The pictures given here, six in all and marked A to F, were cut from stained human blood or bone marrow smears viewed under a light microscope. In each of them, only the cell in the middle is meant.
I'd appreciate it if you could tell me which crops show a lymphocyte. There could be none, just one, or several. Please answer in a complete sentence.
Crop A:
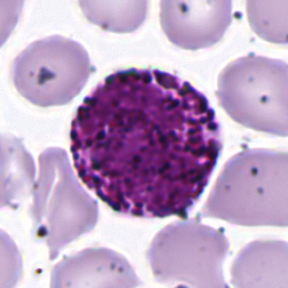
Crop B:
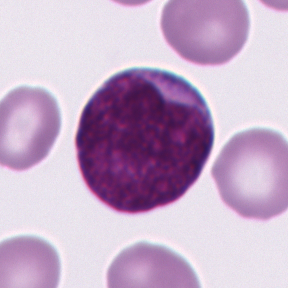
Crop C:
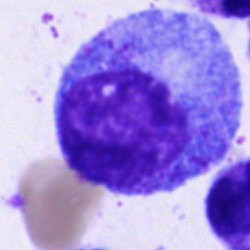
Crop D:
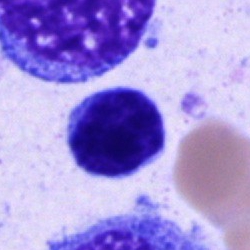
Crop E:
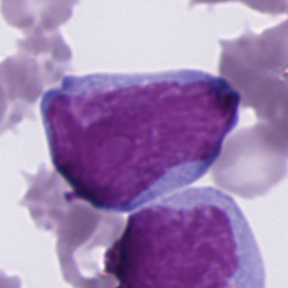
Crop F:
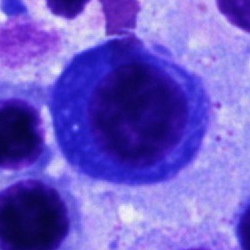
Crop D is the lone crop showing a lymphocyte.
